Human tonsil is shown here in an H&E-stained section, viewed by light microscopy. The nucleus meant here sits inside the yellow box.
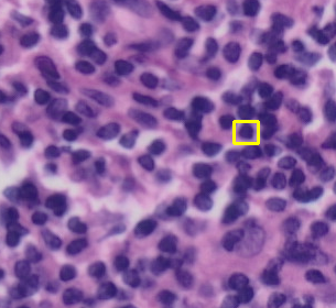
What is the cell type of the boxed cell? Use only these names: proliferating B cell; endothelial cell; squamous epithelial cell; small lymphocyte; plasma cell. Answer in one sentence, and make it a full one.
Speaking plainly, the boxed cell is nothing other than a small lymphocyte.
